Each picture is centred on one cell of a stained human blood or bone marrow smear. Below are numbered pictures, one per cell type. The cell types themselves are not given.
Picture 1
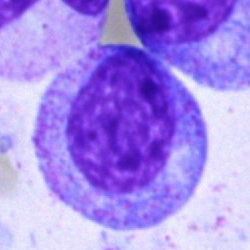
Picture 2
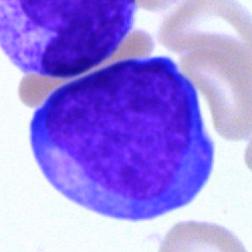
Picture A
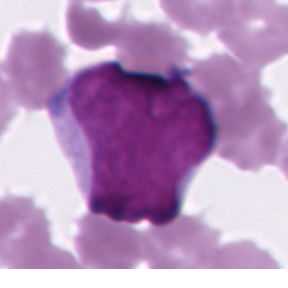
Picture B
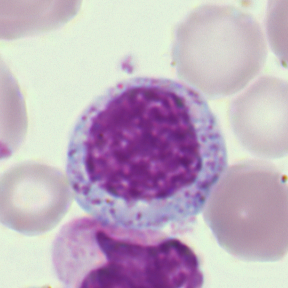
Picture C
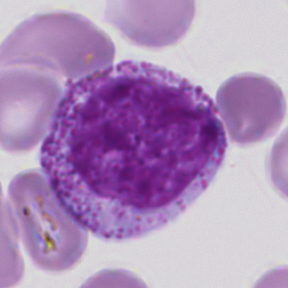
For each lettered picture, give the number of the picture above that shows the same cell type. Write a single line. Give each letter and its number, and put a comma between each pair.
A 2, B 1, C 1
